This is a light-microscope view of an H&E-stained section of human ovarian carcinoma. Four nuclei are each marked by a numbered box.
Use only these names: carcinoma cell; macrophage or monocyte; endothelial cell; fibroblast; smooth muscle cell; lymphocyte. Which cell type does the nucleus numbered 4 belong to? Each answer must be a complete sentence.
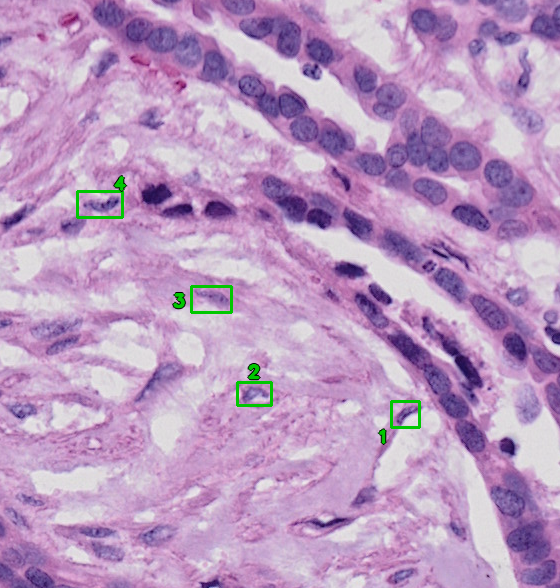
What the number 4 marks in this field is a macrophage or monocyte.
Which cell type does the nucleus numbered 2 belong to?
Cell 2 in the field is a fibroblast.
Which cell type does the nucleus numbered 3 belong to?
The cell indicated with the number 3 is classed as a fibroblast.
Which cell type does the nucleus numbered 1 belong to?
It is as a fibroblast that the cell numbered 1 is identified.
